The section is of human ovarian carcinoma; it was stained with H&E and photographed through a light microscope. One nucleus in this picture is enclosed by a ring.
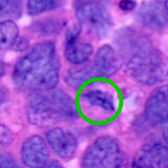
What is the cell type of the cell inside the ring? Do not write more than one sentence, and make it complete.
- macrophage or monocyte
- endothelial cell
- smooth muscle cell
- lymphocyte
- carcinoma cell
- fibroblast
Just put down that the cell inside the ring is a macrophage or monocyte.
